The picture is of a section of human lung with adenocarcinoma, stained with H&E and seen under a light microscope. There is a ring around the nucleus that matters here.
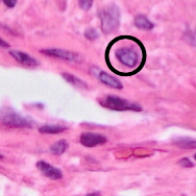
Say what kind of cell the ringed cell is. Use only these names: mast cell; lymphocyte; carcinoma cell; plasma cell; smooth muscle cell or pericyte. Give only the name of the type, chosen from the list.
mast cell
